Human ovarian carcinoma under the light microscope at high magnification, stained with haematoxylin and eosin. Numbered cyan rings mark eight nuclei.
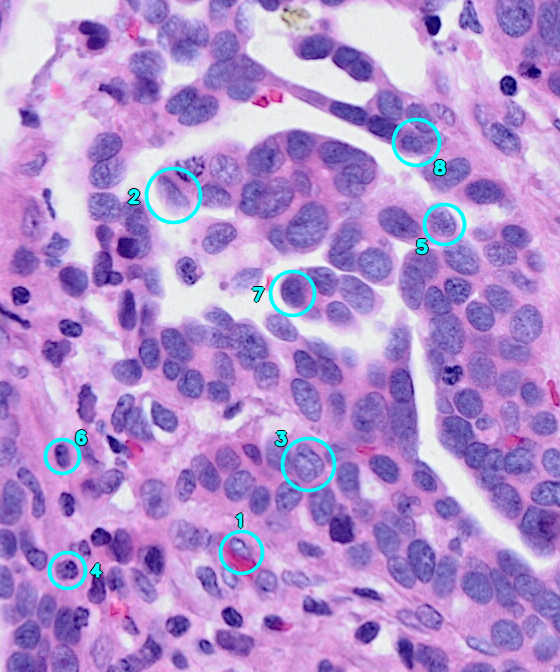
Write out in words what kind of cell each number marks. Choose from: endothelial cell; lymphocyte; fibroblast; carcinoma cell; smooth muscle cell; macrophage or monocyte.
Cell 1 is an endothelial cell, cell 2 is a carcinoma cell, cell 3 is a carcinoma cell, cell 4 is a lymphocyte, cell 5 is a carcinoma cell, cell 6 is a lymphocyte, cell 7 is a carcinoma cell and cell 8 is a carcinoma cell.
